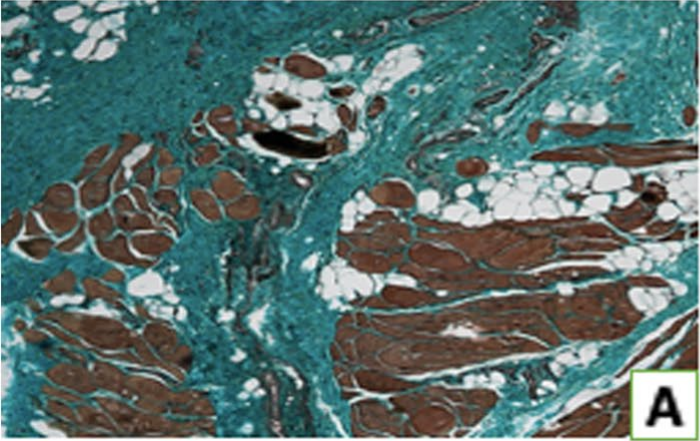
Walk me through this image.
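This is skeletal muscle with fibrous infiltration, in which brown-stained muscle fibres, seen in cross and longitudinal section, are split into small groups by broad bands of blue-green fibrous tissue. Clusters of clear, empty-looking fat cells lie among the muscle fibres, and the fibrous tissue occupies a large part of the field.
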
